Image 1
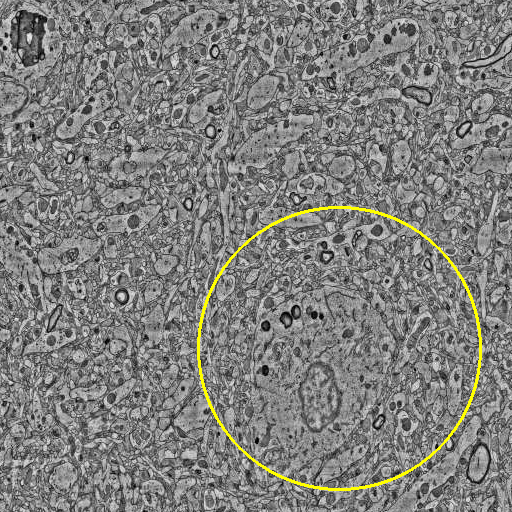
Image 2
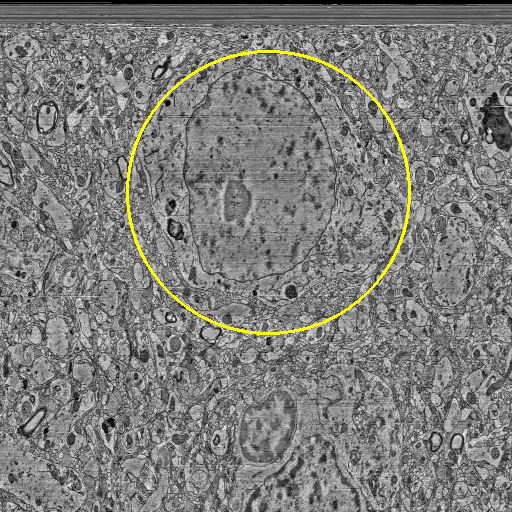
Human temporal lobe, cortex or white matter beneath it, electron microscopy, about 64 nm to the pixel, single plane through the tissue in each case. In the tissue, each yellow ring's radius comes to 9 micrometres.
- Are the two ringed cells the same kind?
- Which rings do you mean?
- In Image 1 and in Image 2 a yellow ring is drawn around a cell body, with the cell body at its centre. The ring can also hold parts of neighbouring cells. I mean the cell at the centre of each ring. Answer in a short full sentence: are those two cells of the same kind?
Yes, both cells are of the same kind.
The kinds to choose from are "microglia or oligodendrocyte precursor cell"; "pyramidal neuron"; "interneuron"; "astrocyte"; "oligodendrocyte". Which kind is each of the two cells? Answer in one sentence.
Both pictures show a pyramidal neuron at the centre of the ring.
